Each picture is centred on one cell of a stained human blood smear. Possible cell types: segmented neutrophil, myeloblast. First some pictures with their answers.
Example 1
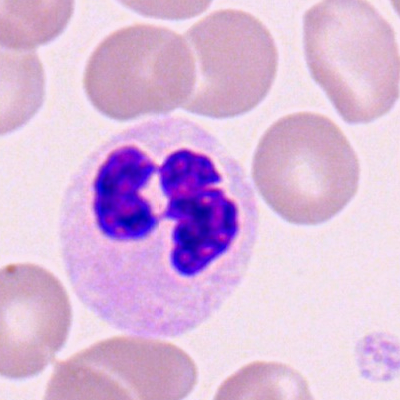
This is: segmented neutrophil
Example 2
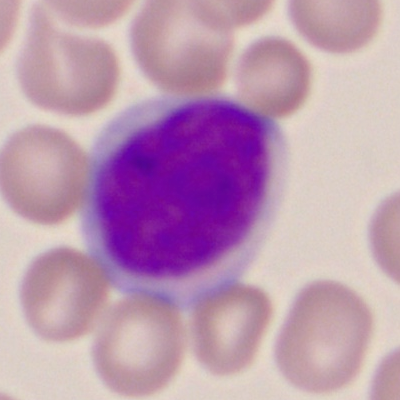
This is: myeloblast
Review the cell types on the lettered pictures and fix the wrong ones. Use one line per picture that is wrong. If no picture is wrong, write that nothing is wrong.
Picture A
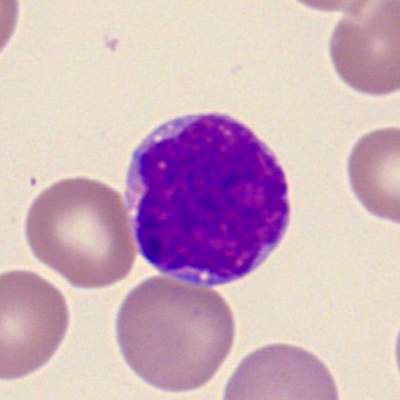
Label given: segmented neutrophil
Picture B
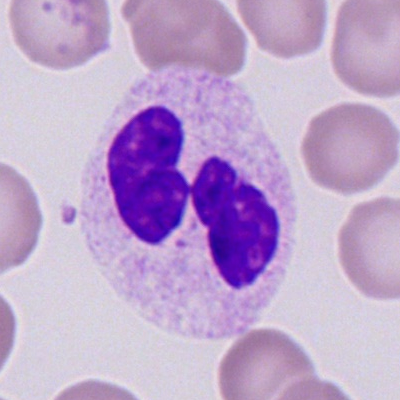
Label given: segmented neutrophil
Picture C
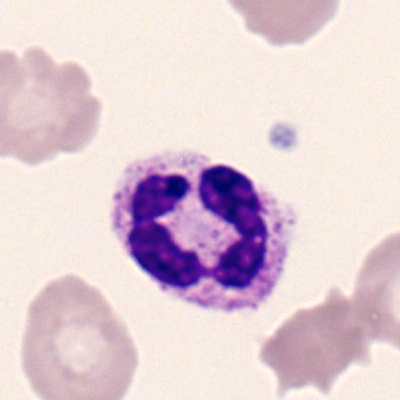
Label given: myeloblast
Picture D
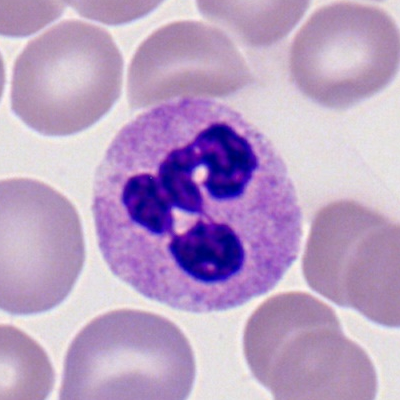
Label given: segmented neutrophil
A is labelled segmented neutrophil; correct label: myeloblast
C is labelled myeloblast; correct label: segmented neutrophil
